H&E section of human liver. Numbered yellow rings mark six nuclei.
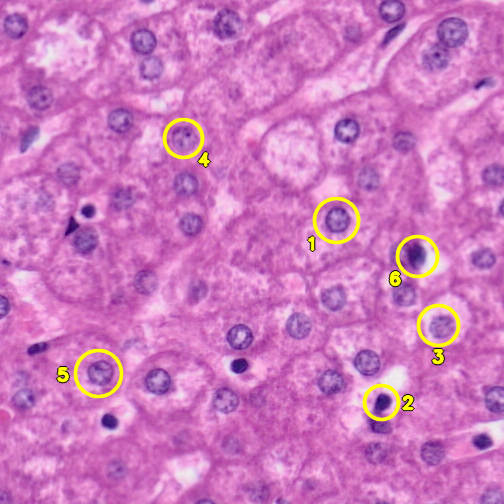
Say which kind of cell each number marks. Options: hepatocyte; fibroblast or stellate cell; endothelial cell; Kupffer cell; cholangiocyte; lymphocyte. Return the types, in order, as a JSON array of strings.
["hepatocyte", "lymphocyte", "hepatocyte", "hepatocyte", "hepatocyte", "endothelial cell"]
